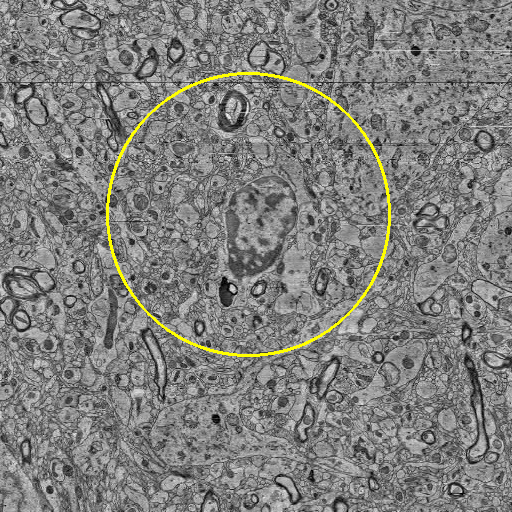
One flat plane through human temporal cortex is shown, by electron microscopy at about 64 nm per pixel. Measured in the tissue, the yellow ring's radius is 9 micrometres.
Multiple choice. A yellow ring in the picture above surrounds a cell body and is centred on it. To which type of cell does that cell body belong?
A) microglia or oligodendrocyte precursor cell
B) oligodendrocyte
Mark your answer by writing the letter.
A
